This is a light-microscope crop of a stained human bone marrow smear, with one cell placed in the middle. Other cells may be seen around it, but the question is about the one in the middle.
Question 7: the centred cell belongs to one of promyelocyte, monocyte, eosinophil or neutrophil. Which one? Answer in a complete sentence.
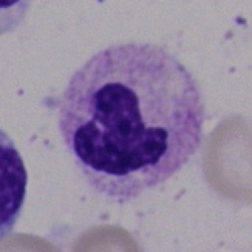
Answering briefly, the cell in the middle is a neutrophil.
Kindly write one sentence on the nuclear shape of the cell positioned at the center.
If you check the nucleus, you will find one compact mass, round, oval or kidney-shaped.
